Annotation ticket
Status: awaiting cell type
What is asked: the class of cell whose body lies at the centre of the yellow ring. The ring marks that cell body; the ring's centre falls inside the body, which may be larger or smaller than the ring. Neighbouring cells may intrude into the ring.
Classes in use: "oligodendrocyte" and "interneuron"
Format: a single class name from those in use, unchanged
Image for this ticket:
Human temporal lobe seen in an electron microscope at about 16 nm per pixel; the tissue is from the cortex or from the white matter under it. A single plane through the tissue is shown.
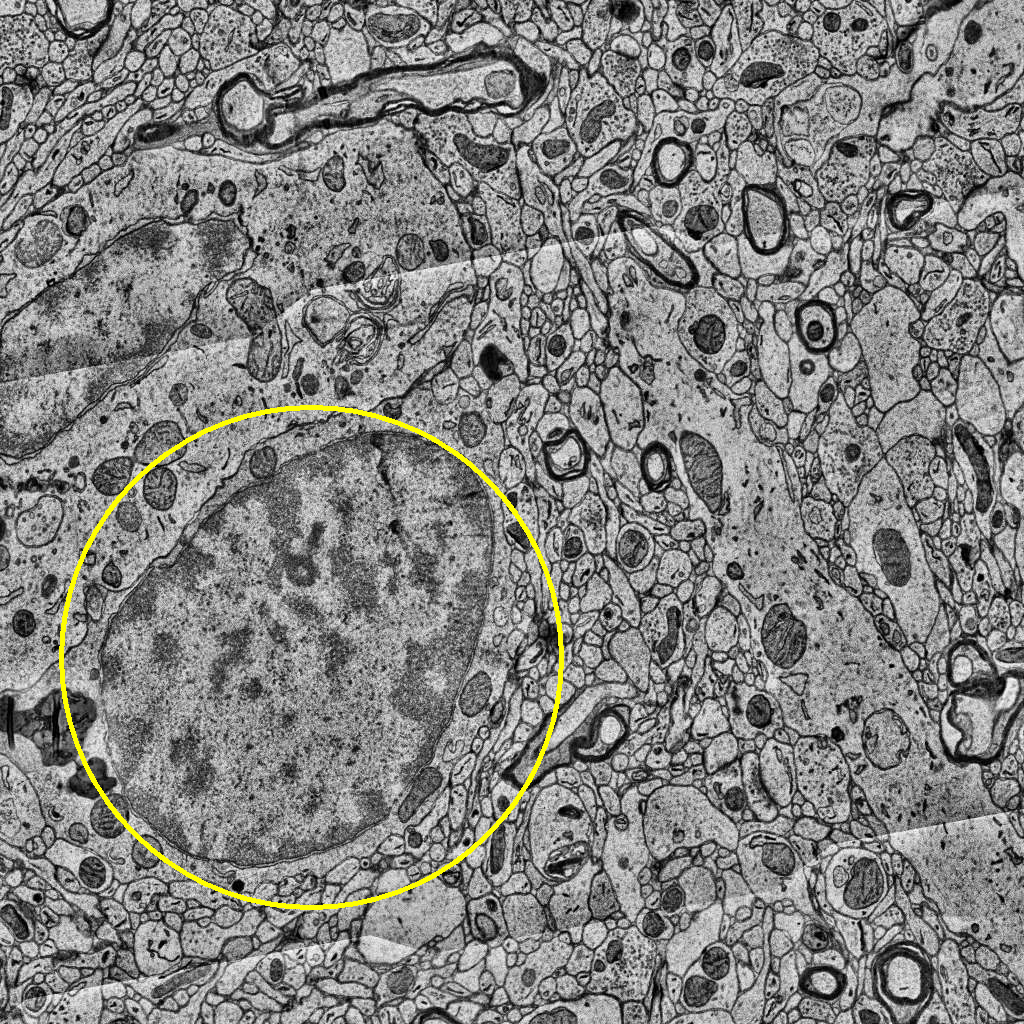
oligodendrocyte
